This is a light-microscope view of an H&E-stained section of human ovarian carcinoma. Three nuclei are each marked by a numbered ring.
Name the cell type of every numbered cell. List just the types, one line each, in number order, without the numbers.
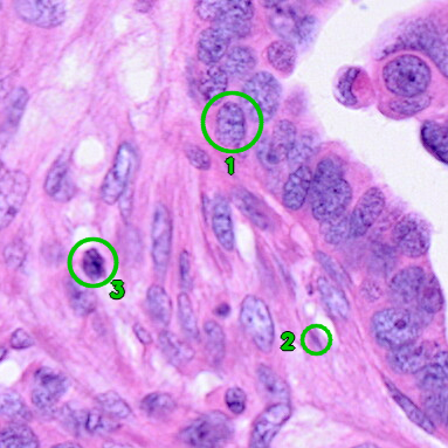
carcinoma cell
fibroblast
lymphocyte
